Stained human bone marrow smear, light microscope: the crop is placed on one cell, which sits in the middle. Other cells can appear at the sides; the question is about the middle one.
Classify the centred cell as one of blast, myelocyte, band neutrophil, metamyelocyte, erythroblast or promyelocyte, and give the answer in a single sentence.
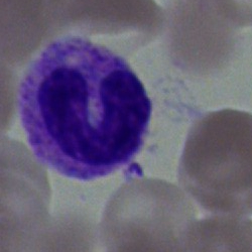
By type, the central cell of the crop is a band neutrophil.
